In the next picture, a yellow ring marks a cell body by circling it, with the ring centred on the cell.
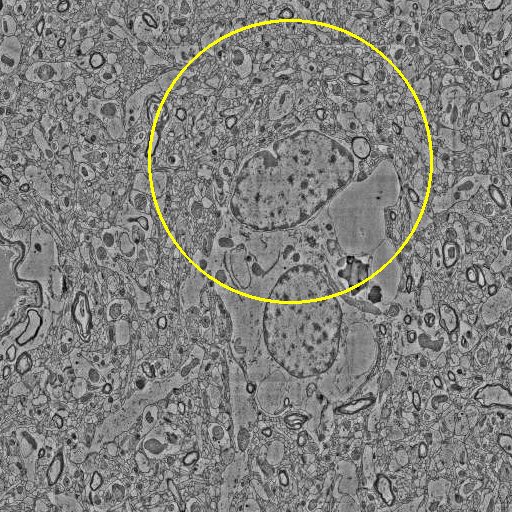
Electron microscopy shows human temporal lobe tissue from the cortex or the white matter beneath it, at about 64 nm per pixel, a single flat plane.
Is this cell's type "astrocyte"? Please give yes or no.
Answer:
no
